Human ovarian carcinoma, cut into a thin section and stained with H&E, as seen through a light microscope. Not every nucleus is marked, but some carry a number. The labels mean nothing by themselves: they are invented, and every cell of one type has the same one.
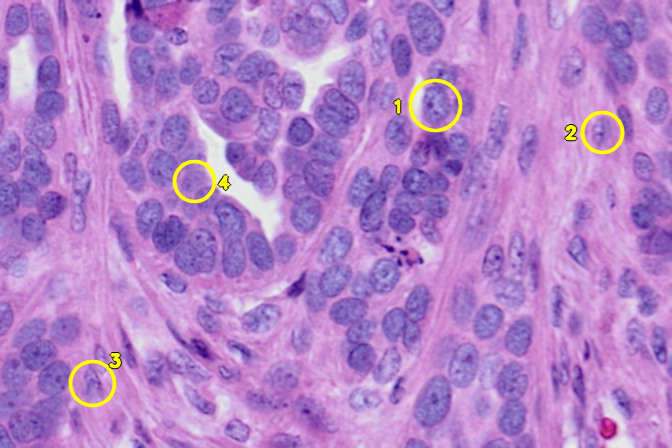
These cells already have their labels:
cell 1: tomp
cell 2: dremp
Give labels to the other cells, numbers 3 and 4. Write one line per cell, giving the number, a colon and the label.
3: dremp
4: tomp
